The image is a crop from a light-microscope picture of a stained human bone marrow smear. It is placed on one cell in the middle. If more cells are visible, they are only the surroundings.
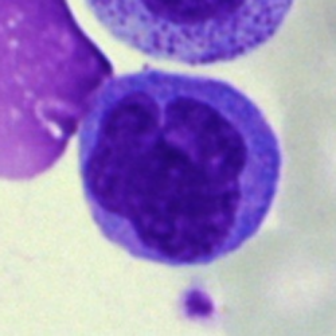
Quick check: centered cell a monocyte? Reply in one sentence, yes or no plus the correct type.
Yes, the cell centred in this crop is a monocyte.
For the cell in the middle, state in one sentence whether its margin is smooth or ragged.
There are no projections here; the outline is simply smooth.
